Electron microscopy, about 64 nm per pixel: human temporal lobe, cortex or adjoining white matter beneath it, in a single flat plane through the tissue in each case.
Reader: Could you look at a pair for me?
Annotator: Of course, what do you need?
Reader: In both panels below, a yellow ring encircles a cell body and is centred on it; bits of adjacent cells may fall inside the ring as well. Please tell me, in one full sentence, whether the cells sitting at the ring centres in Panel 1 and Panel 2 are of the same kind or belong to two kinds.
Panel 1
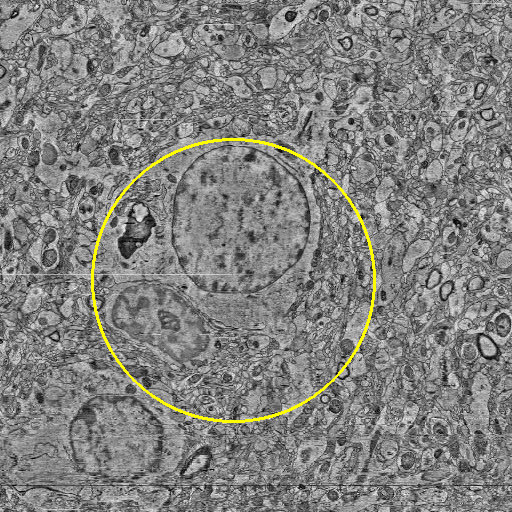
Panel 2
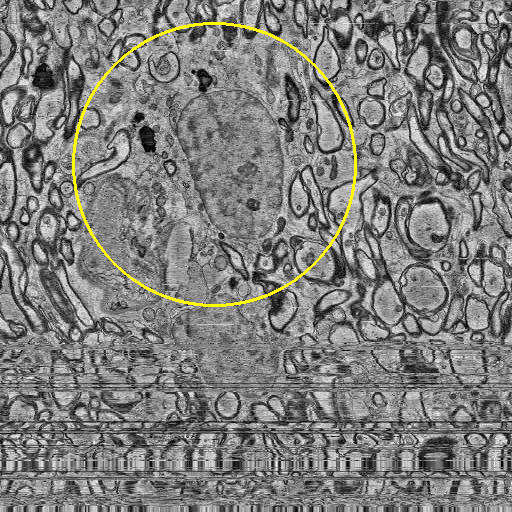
The cell at the ring's centre in Panel 1 and the one in Panel 2 belong to two kinds.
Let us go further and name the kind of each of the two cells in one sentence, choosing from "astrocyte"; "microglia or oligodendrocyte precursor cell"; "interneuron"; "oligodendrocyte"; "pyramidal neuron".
The ring of the first picture is on an astrocyte, the ring of the second on an oligodendrocyte.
